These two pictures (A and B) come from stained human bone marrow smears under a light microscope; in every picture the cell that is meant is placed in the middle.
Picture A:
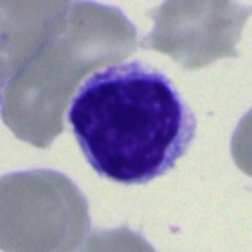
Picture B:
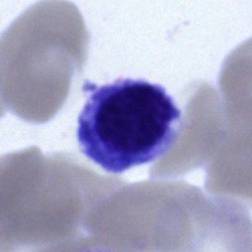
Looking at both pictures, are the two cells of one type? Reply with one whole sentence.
No, picture A shows a lymphocyte and picture B shows an erythroblast.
